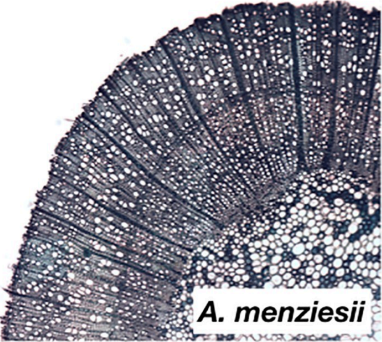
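A quarter of a stem cross-section stained purple shows a central region of large, rounded, thin-walled cells at one corner, surrounded by a wide band of dense woody tissue. Within this band many small, round, empty openings are spread fairly evenly, singly or in small groups, rather than in distinct rows. Thin dark lines radiate outward from the centre toward the edge, crossing the whole band. The openings are the water-conducting vessels of the stem xylem, the radiating lines are rays, and the central large-celled region is the pith.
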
